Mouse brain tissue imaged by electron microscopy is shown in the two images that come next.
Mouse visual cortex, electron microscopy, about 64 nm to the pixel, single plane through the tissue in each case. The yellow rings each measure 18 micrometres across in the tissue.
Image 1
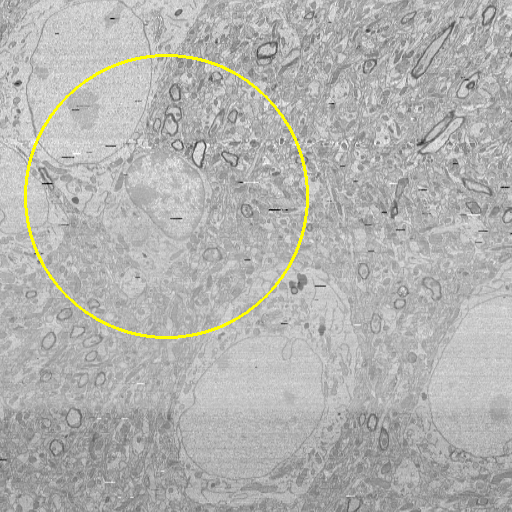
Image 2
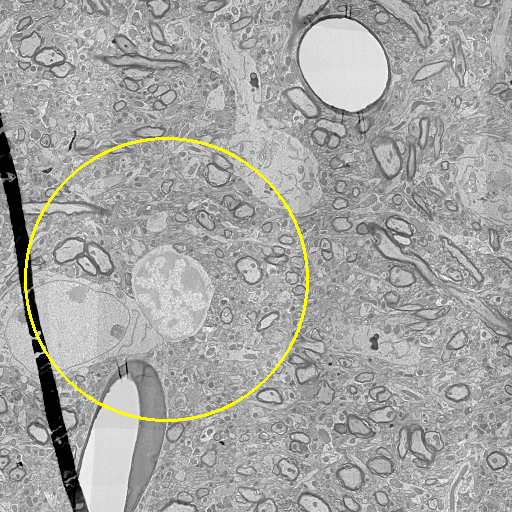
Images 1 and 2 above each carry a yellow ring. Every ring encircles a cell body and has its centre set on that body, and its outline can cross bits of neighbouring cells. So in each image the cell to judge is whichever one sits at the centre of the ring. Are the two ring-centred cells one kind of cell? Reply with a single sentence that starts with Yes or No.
Yes, in Image 1 and Image 2 the cells at the centres of their rings fall into one type.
